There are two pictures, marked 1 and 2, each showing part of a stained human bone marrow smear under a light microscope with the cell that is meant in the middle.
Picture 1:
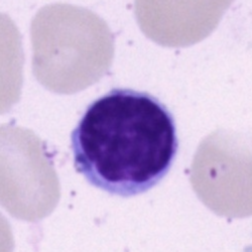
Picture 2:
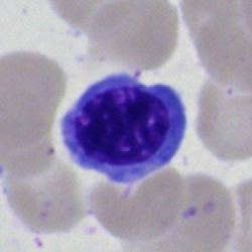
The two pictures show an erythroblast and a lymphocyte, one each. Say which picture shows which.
1: lymphocyte
2: erythroblast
